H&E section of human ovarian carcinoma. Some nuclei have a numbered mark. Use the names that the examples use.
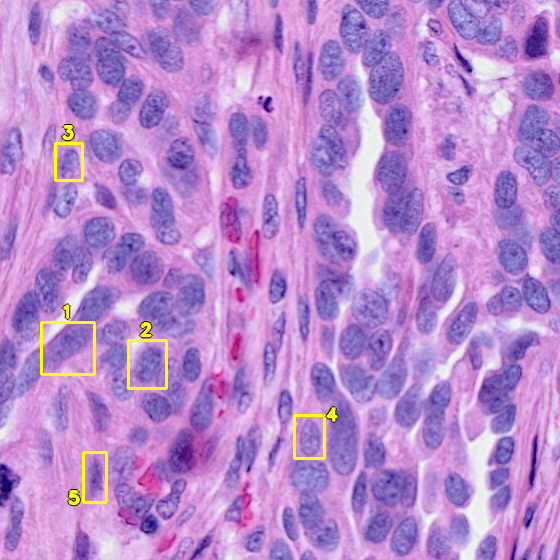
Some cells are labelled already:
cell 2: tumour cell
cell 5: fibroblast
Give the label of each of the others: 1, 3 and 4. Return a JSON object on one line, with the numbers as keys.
{"1": "tumour cell", "3": "fibroblast", "4": "tumour cell"}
